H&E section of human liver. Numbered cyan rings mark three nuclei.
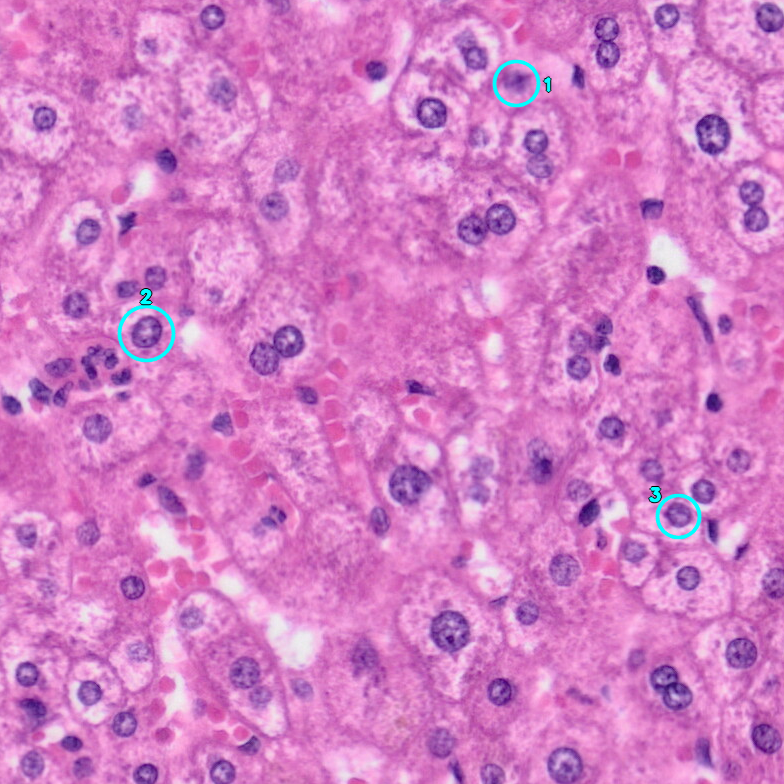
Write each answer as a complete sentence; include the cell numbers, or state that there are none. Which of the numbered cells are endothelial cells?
Only number 1 of the marked cells is an endothelial cell.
